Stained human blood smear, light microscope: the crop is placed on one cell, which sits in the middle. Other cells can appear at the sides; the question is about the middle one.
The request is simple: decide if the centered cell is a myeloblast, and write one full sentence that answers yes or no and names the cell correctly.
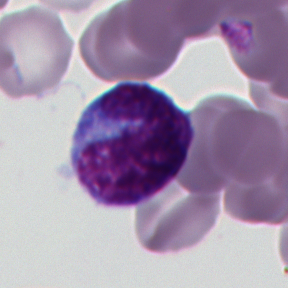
No, the cell positioned in the middle is a typical lymphocyte, not a myeloblast.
